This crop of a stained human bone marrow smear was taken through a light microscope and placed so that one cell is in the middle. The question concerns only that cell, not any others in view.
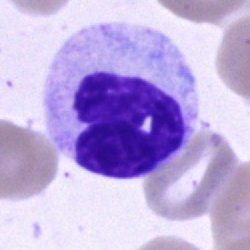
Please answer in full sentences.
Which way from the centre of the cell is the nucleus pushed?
Seen from the middle of the cell, the nucleus lies toward the bottom.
